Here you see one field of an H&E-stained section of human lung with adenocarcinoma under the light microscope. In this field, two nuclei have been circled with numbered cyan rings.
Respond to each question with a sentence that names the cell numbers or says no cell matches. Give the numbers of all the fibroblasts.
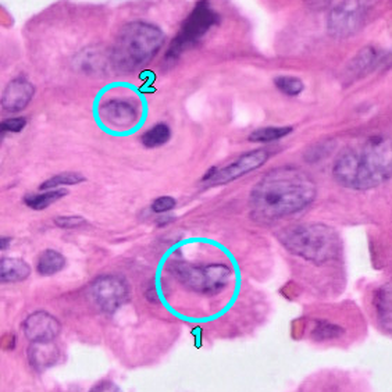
Of all the numbered cells, only one is a fibroblast, and that is cell 2.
